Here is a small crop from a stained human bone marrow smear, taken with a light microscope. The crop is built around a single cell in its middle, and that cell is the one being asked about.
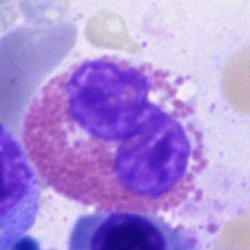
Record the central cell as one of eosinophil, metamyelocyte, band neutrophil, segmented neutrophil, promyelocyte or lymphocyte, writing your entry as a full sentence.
Answering briefly, the cell in the middle is an eosinophil.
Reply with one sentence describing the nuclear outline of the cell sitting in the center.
The nucleus is divided into two or more distinct lobes.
